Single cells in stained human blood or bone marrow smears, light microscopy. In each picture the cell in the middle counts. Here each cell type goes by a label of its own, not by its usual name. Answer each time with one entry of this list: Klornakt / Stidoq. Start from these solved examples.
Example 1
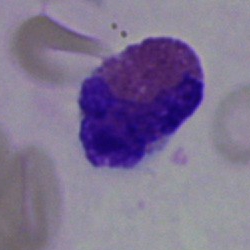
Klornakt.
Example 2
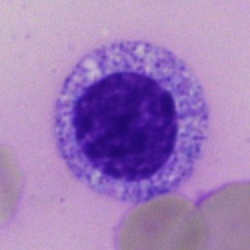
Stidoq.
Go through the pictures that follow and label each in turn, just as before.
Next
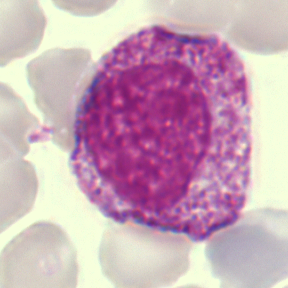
Stidoq.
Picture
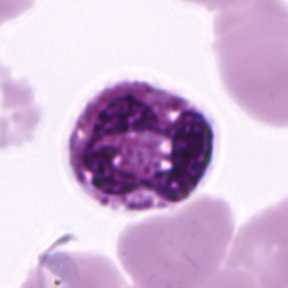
Klornakt.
